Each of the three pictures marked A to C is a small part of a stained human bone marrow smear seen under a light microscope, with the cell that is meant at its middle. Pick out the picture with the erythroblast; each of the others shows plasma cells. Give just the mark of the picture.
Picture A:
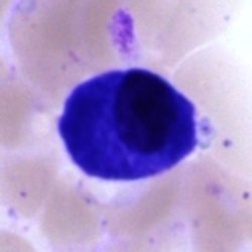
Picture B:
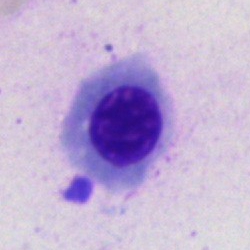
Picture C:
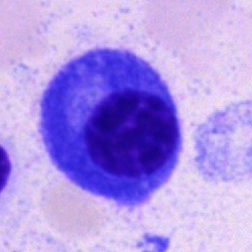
B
